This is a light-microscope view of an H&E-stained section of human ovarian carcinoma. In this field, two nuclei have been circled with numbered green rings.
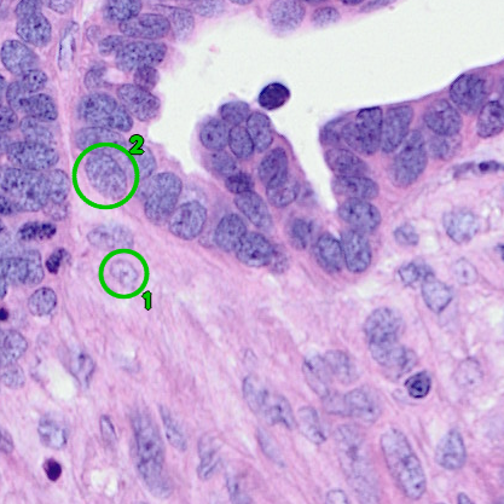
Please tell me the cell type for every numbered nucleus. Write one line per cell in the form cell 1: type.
cell 1: fibroblast
cell 2: carcinoma cell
